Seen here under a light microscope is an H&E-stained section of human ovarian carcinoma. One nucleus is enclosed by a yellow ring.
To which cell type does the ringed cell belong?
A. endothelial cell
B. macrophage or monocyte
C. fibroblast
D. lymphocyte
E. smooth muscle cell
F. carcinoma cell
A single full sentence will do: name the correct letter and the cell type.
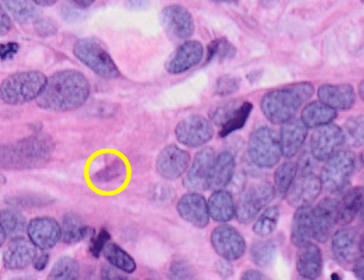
As stated in option C, the ringed cell is a fibroblast.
